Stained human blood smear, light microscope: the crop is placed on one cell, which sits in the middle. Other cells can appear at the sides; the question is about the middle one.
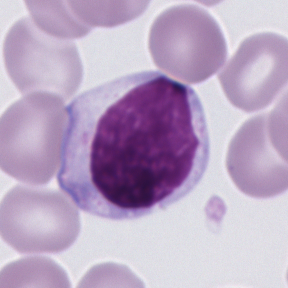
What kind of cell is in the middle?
large granular lymphocyte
